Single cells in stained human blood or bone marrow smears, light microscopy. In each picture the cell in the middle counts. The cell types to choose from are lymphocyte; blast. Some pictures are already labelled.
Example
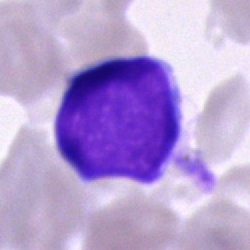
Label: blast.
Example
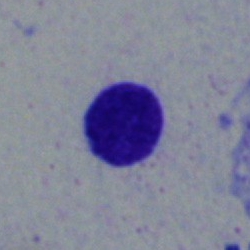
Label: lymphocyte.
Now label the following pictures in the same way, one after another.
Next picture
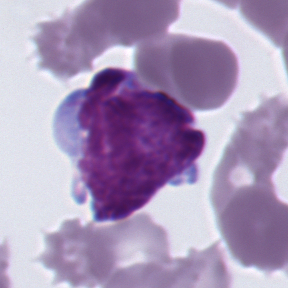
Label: blast.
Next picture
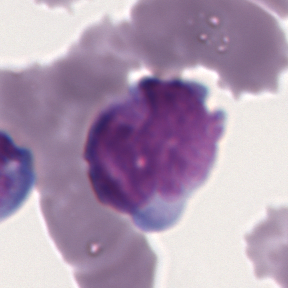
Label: blast.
